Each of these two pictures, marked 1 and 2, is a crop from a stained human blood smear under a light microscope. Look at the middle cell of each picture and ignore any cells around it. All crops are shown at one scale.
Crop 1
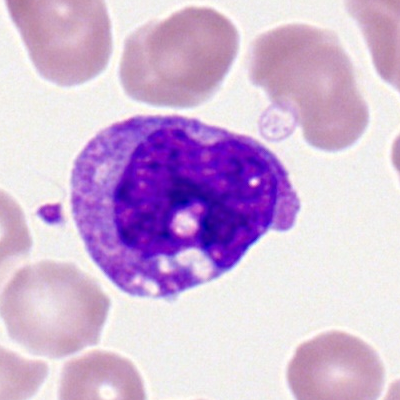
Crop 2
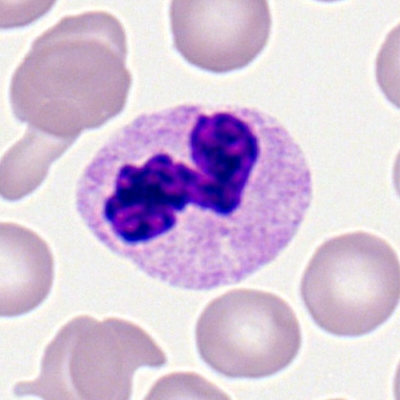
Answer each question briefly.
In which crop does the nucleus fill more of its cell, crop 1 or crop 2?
1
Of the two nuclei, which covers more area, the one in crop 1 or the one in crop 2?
1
